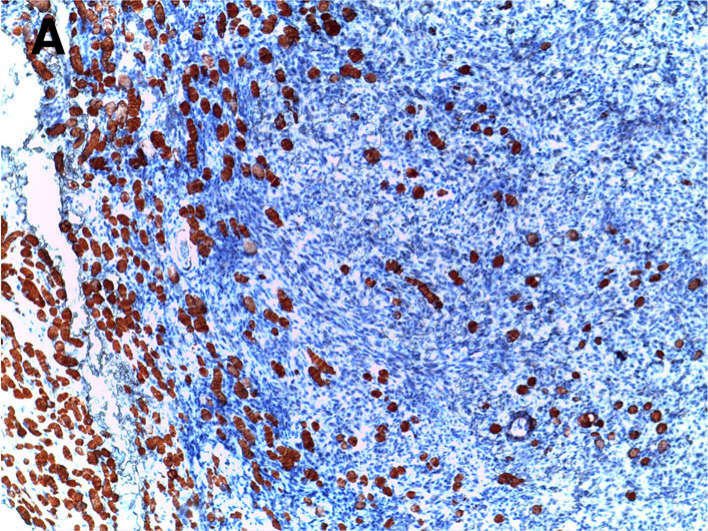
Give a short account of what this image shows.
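A sheet of densely packed, blue-counterstained spindle cells in loose fascicles has brown-stained round and oval profiles scattered through it. The profiles crowd together at the left edge and thin out toward the right.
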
